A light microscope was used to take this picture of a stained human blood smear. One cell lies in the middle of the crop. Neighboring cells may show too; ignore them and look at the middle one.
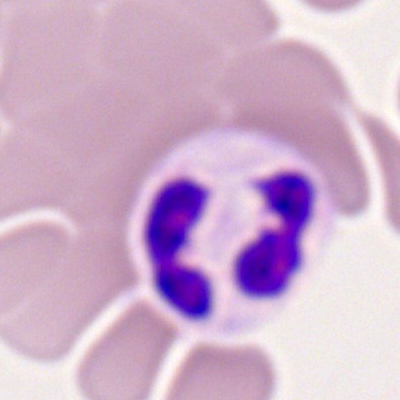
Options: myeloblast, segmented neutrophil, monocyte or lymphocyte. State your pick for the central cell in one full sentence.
In this smear crop, the middle cell is a segmented neutrophil.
